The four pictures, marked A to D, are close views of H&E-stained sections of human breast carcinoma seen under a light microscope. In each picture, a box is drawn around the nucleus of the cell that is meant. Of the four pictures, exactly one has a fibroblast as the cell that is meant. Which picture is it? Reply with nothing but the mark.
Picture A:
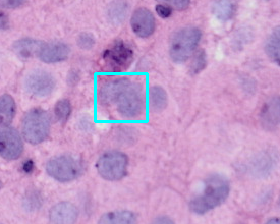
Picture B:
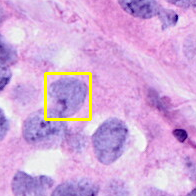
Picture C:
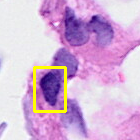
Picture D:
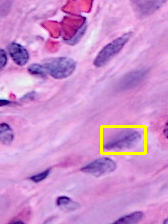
D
